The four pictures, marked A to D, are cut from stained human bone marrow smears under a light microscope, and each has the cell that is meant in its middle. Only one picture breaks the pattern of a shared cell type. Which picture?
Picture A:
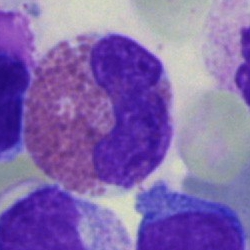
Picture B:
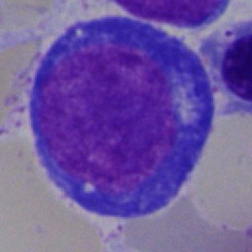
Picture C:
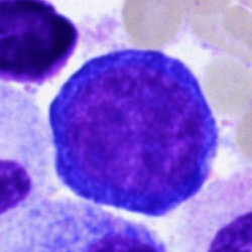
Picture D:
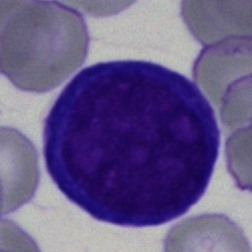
A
